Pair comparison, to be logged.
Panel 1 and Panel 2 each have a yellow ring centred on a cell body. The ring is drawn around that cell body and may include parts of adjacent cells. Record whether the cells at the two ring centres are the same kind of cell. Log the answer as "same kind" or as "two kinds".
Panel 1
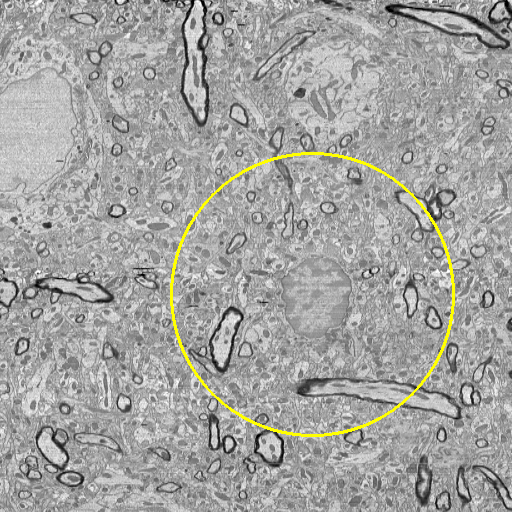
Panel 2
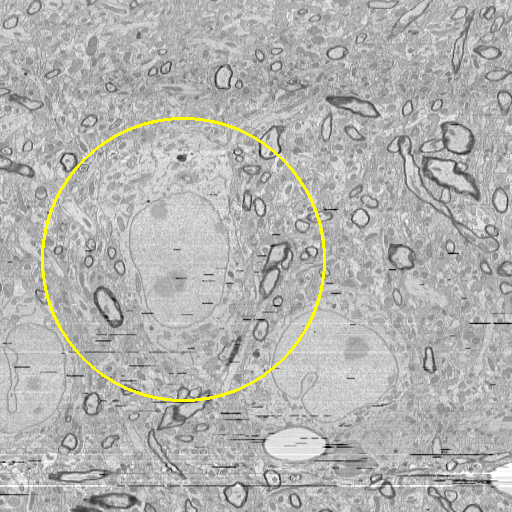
two kinds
